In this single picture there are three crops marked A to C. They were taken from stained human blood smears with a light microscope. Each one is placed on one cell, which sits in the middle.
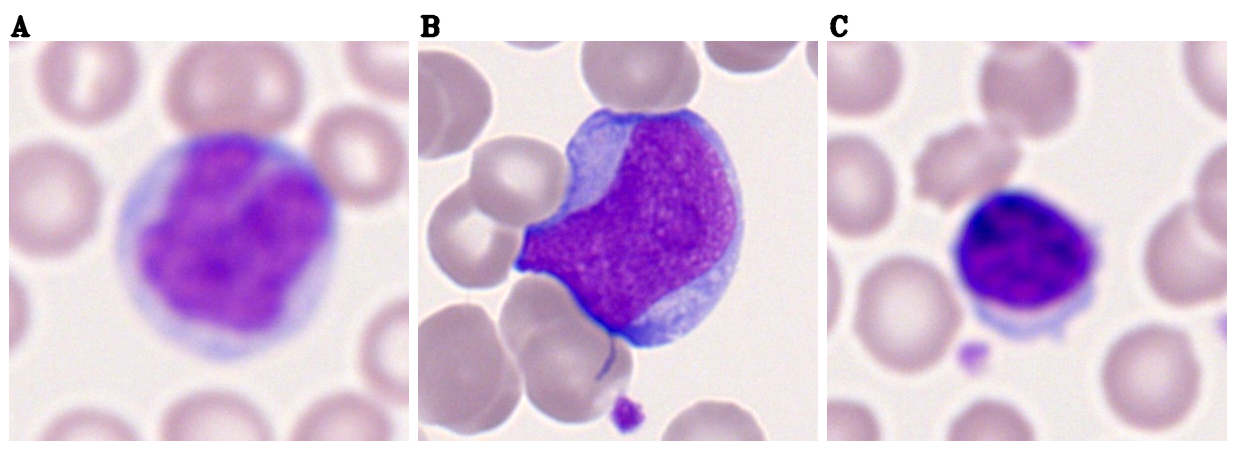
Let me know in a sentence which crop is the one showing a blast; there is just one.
The one that shows a blast is crop B.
